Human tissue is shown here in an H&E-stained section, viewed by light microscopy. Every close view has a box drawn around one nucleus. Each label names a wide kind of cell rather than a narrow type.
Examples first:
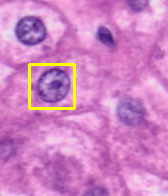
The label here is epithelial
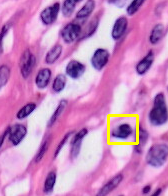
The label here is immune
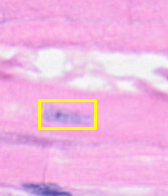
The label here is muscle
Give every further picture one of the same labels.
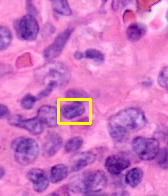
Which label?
immune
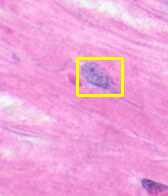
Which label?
muscle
